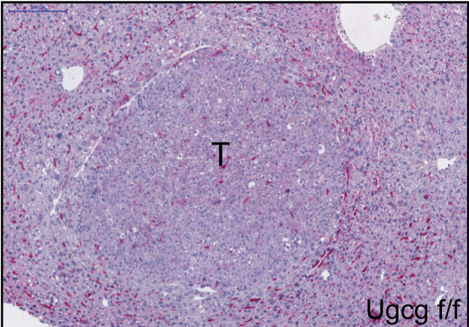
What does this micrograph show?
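At low magnification, a rounded nodule sits within liver tissue, and many slender red-stained cells are scattered through the tissue. The red cells are elongated and lie along the channels between the plates of cells. They are crowded in the tissue around the nodule and are far sparser inside it, where the tissue appears mostly bluish. Vessel openings appear at the top and at the corners.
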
